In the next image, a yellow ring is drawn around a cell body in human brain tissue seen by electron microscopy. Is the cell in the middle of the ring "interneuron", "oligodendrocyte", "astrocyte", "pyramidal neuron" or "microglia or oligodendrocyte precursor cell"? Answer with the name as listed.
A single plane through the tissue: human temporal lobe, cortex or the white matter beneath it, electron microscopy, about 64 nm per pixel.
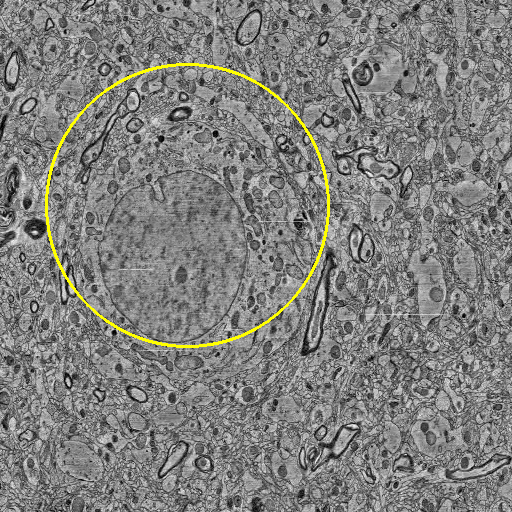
interneuron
